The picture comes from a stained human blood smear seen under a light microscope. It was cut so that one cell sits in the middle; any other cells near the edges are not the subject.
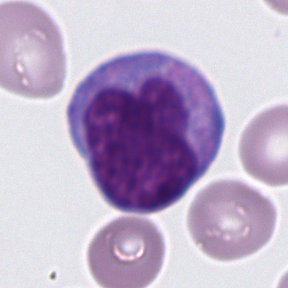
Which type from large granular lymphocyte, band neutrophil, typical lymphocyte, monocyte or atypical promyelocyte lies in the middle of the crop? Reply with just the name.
atypical promyelocyte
